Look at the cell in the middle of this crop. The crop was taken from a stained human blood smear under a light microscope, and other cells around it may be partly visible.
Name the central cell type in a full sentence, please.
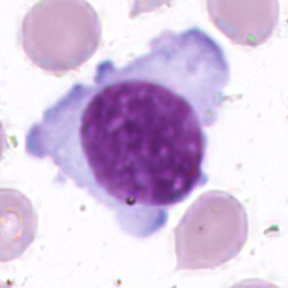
The cell marked by its central position in the crop is a plasma cell.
